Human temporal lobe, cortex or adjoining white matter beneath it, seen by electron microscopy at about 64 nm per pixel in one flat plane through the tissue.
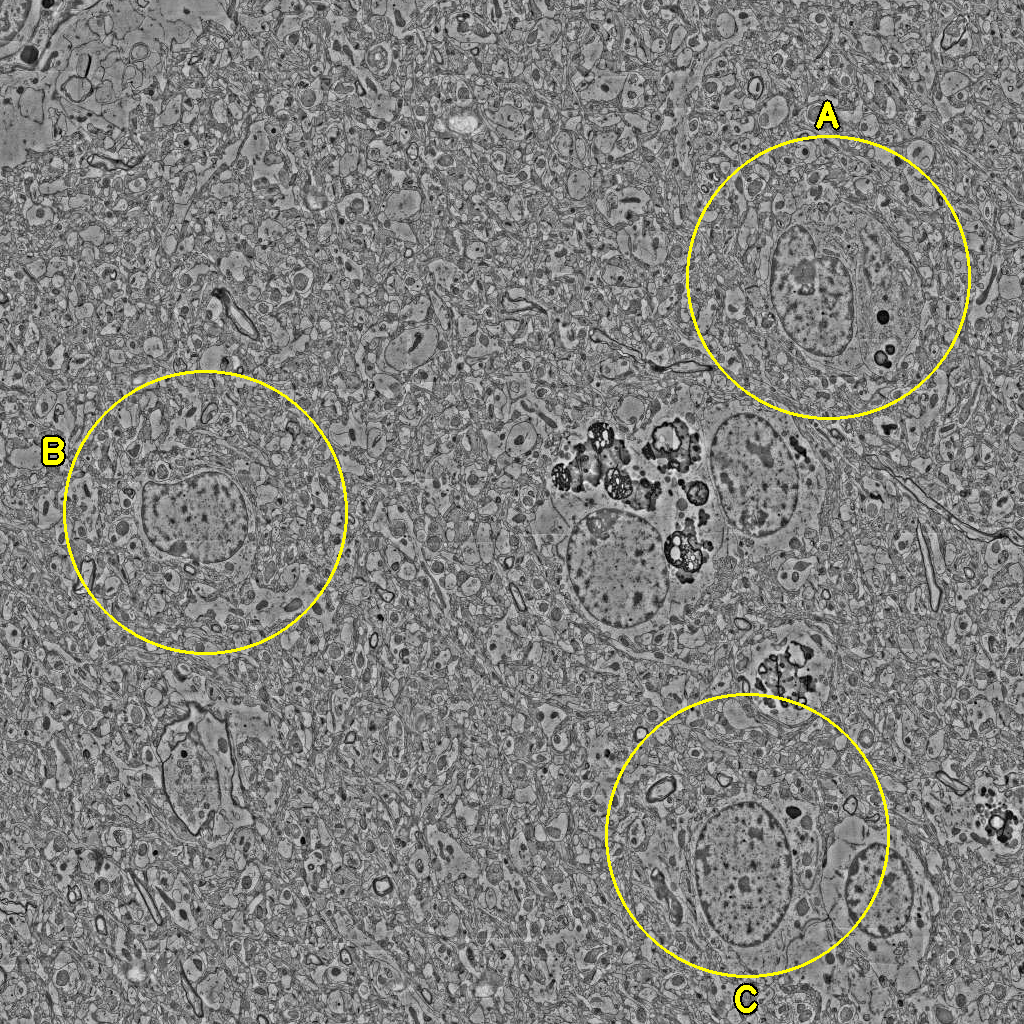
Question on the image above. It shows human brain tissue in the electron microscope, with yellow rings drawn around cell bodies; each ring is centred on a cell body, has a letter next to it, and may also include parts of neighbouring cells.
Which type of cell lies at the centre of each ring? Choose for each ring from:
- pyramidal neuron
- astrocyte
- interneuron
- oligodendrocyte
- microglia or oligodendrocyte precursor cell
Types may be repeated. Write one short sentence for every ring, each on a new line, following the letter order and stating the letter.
Ring A has been drawn around a microglial cell or oligodendrocyte precursor cell.
Ring B has been drawn around a microglial cell or oligodendrocyte precursor cell.
Ring C has been drawn around an astrocyte.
